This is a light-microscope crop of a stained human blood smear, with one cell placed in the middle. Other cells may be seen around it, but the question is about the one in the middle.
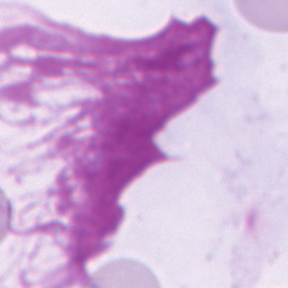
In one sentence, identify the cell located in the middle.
For this crop, the central cell is a smudge cell.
